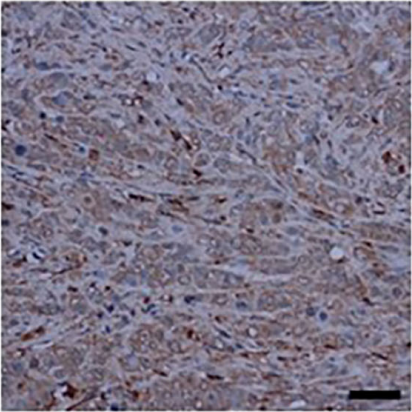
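Large tumor cells with pale oval nuclei and light brown cytoplasm lie in loose, disordered sheets crossed by slender spindle-shaped cells. Scattered among them are small, dark brown, elongated or branched cells that touch the tumor cells directly. No compact islands or separate stromal band can be seen, so the architecture looks disrupted.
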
